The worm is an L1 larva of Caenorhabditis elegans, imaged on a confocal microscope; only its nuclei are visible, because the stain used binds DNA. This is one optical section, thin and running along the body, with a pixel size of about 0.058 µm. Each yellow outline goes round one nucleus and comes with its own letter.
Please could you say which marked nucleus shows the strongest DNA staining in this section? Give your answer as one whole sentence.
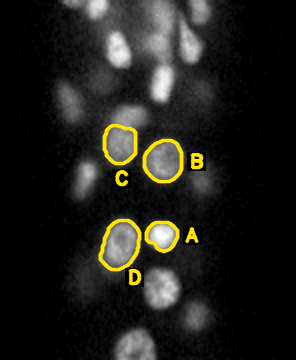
Nucleus A shows the strongest staining.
